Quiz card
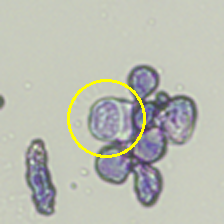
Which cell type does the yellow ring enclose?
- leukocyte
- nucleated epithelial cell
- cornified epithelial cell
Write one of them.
nucleated epithelial cell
